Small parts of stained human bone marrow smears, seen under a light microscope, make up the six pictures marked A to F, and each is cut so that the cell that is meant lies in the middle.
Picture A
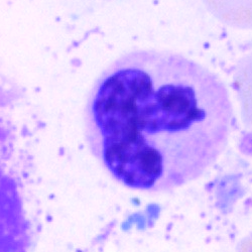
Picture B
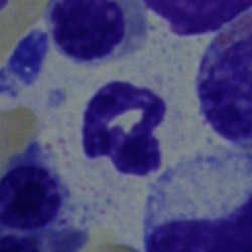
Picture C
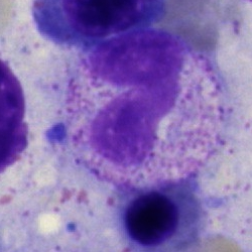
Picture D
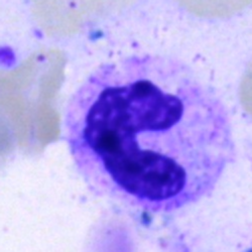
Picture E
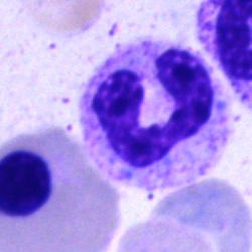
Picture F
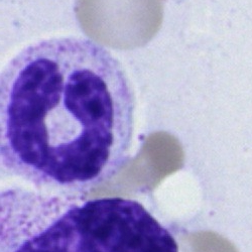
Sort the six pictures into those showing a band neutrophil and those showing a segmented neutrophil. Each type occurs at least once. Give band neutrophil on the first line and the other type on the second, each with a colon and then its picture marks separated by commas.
band neutrophil: C, D, E, F
segmented neutrophil: A, B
